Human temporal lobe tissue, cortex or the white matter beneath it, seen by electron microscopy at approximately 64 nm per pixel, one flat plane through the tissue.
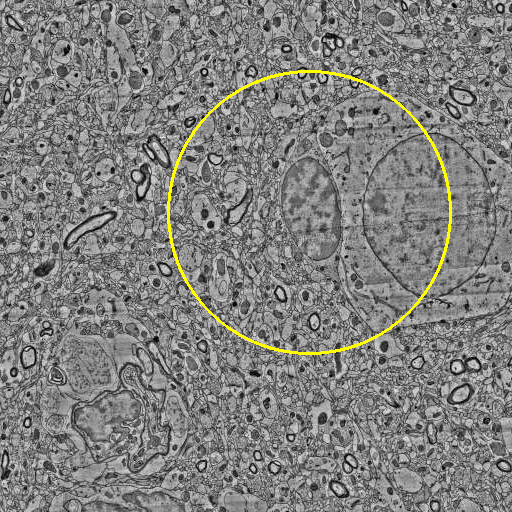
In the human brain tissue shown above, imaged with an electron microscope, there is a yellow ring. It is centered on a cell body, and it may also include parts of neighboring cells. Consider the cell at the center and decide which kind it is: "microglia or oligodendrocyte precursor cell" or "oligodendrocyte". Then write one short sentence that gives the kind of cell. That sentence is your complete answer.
This centered cell body is that of an oligodendrocyte.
